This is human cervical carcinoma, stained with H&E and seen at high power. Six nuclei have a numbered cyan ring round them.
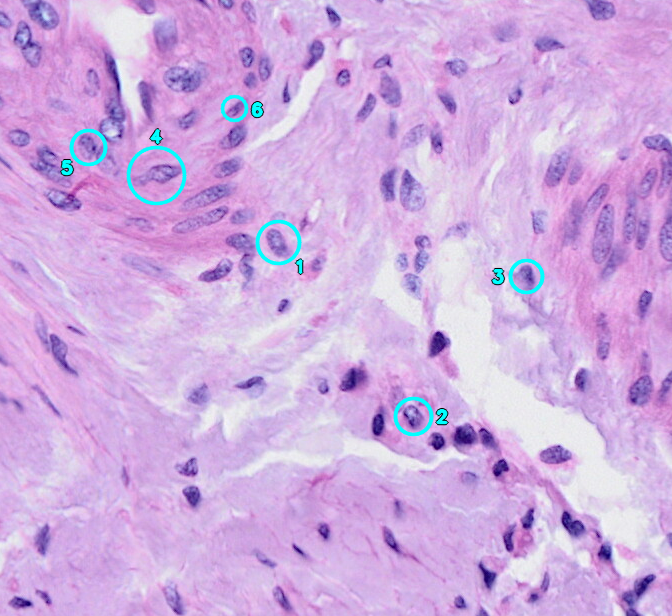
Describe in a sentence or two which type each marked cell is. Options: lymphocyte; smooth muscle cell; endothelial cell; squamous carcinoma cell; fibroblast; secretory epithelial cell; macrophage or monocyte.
Cell 1 is a smooth muscle cell, cell 2 is an endothelial cell, cell 3 is a fibroblast, cell 4 is a smooth muscle cell, cell 5 is a smooth muscle cell and cell 6 is a smooth muscle cell.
